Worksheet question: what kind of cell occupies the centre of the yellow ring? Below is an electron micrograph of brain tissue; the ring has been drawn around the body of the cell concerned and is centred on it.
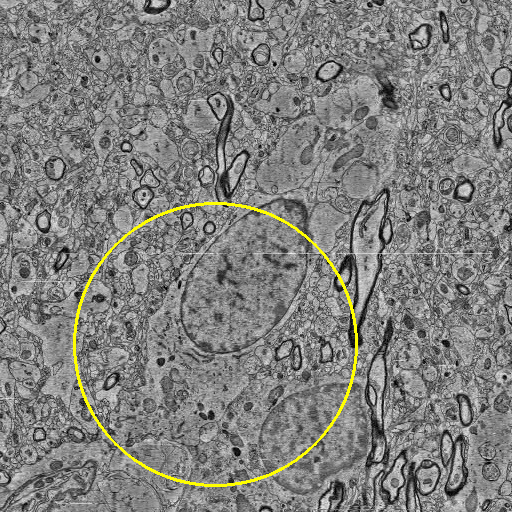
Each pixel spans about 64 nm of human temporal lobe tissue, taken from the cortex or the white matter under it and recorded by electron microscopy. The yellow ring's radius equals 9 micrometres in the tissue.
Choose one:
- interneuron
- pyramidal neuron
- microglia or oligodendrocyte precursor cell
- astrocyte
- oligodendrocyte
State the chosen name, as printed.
microglia or oligodendrocyte precursor cell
